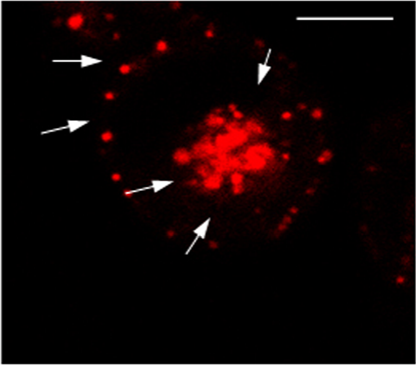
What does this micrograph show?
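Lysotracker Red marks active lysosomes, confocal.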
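Small round red puncta line up along the outer edge of the cell, tracing its rounded outline. Toward the centre the puncta are packed into a dense, bright cluster, leaving a dimmer zone between the rim and the core.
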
